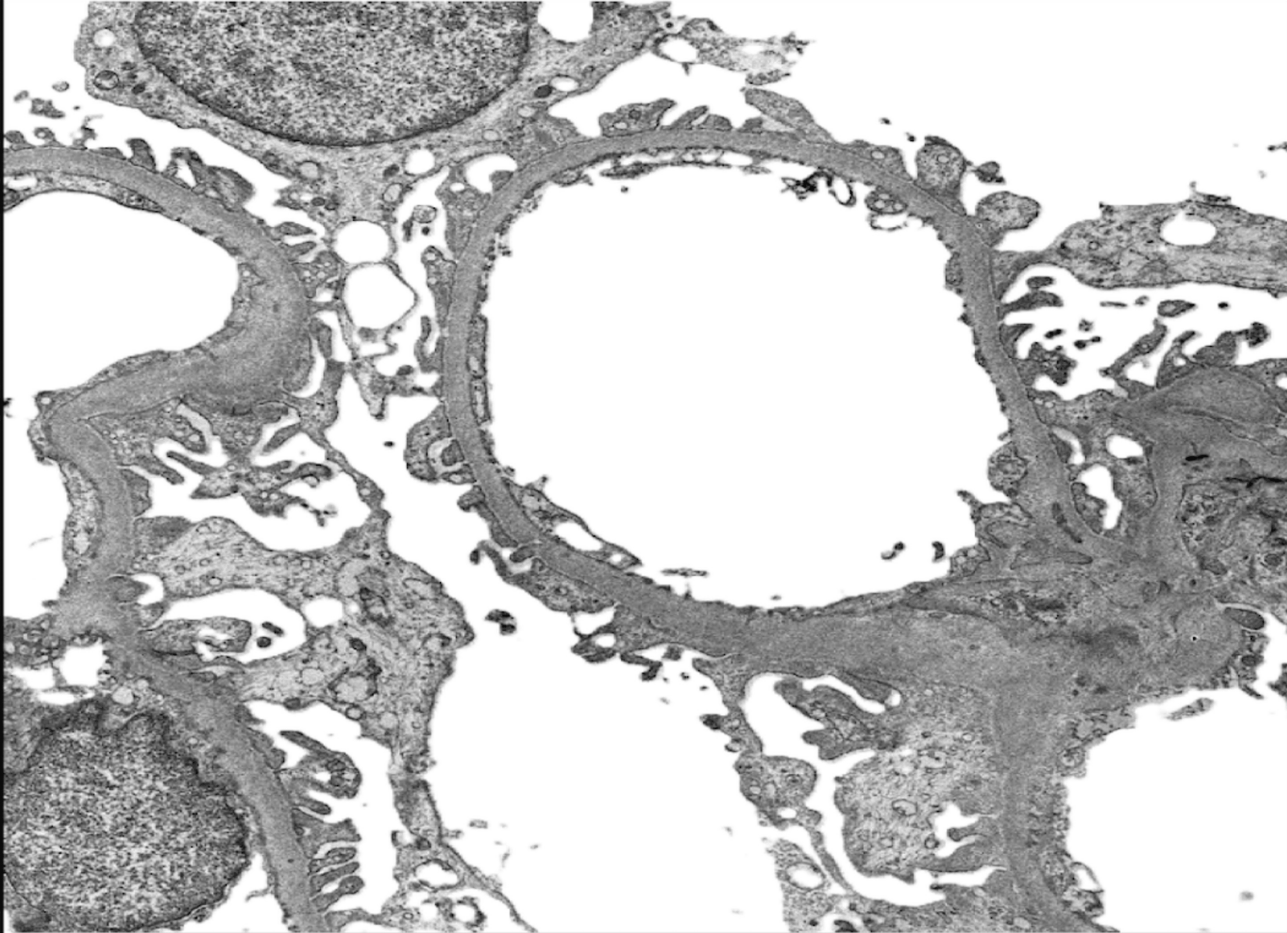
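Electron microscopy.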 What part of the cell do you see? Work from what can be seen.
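The knobs arise from larger cell bodies lying in the space outside the loops.
Hence: foot processes.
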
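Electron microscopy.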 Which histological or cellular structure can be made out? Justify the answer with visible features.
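A continuous, uniformly grey band curves around each open capillary lumen. Small cell processes sit on its outer side. That points to this answer: glomerular basement membrane.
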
